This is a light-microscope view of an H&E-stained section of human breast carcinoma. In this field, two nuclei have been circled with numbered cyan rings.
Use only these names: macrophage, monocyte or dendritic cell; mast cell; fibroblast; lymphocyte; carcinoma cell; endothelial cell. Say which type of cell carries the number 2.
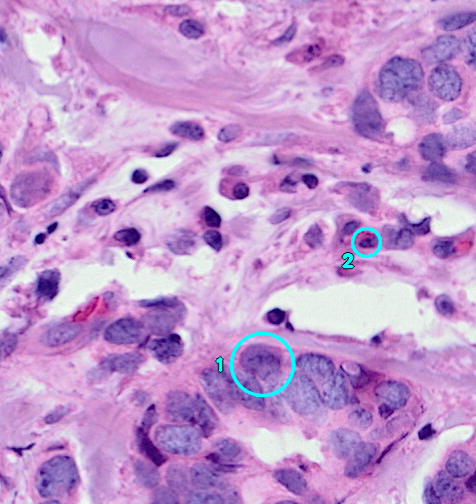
endothelial cell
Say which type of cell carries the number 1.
carcinoma cell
